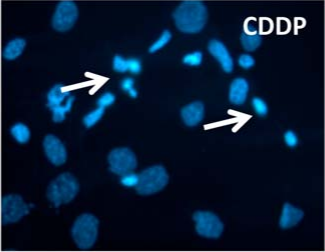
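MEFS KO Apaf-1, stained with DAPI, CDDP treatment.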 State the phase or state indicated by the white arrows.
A: Dying cells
